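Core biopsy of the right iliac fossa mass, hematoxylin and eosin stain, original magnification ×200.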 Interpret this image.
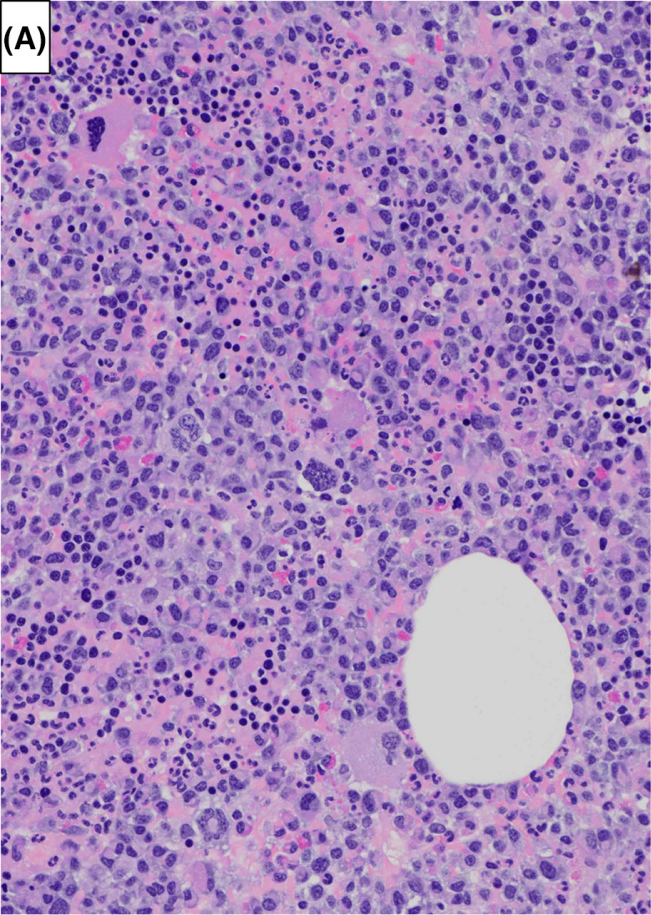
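This is densely cellular blood-forming tissue showing all three lineages: scattered giant megakaryocytes with lobulated nuclei, clusters of small dark erythroid nuclei, and myeloid cells with segmented nuclei. Between them lie many larger cells with round, eccentric nuclei and purplish cytoplasm, the atypical plasma cells, set in a pink background.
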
